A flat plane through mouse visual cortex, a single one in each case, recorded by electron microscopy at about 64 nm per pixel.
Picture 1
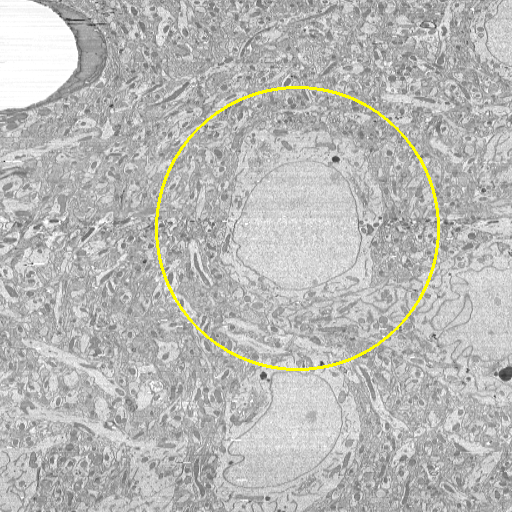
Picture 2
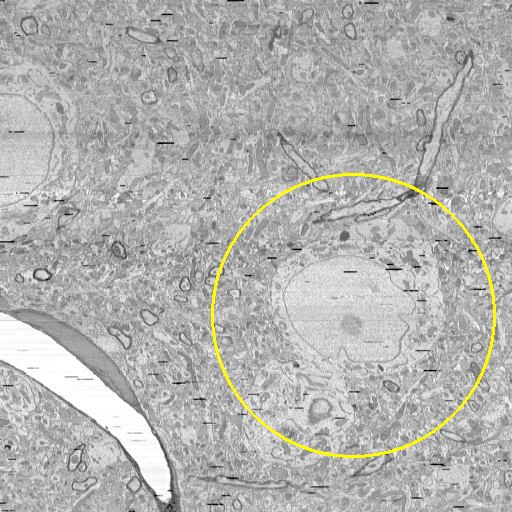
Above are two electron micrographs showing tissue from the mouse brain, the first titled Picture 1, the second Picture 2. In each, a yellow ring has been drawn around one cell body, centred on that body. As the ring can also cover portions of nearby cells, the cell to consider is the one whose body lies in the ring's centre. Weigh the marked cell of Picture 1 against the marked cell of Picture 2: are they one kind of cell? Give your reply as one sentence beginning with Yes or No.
Yes, the two cells sitting at the ring centres in the pictures are of one kind.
